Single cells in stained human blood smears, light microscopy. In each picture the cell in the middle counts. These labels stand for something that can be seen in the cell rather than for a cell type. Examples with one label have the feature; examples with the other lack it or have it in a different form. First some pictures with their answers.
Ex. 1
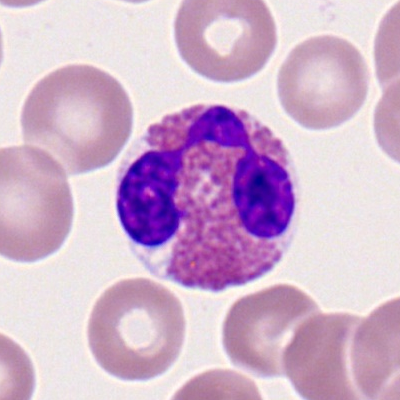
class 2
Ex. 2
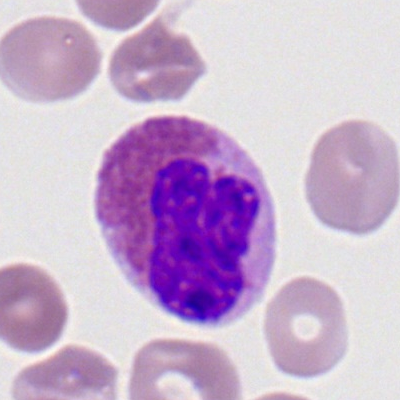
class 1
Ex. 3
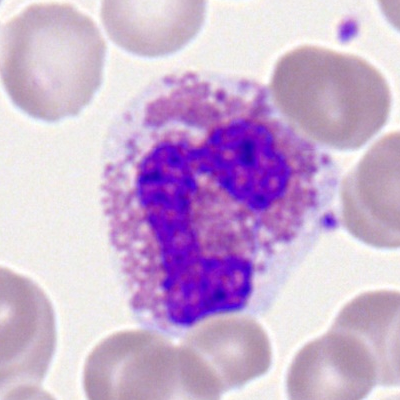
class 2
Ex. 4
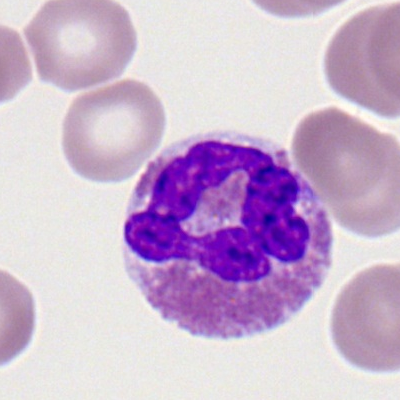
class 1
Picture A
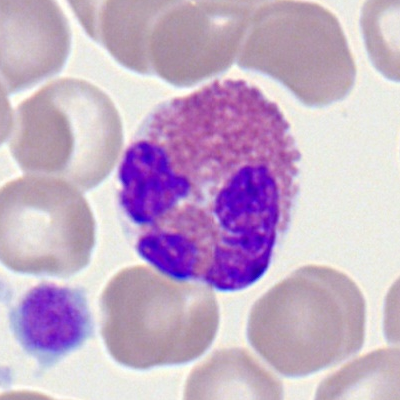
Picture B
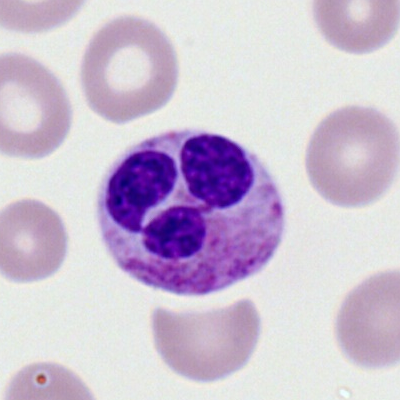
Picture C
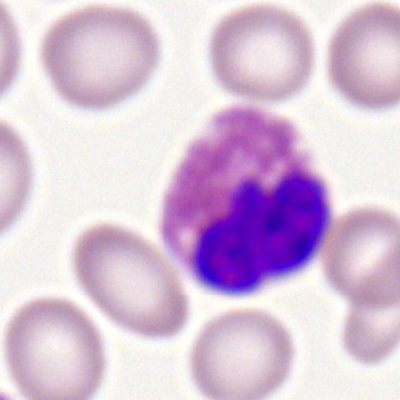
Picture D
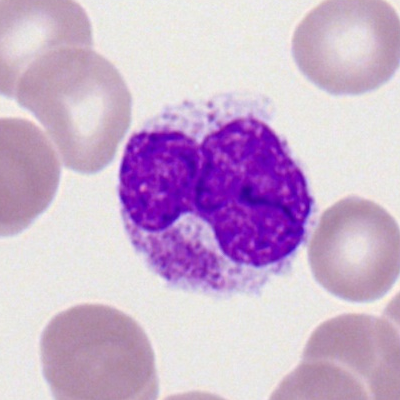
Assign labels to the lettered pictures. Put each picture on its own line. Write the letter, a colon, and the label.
A: class 2
B: class 1
C: class 2
D: class 1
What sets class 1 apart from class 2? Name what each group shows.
Seen in class 1: fine or small granules; seen in class 2: coarse or large granules.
